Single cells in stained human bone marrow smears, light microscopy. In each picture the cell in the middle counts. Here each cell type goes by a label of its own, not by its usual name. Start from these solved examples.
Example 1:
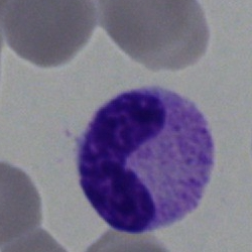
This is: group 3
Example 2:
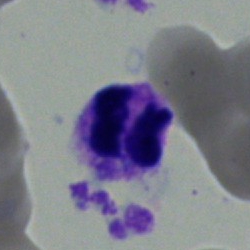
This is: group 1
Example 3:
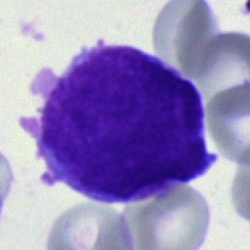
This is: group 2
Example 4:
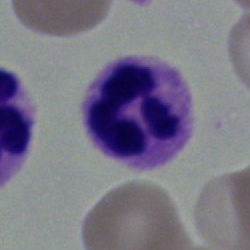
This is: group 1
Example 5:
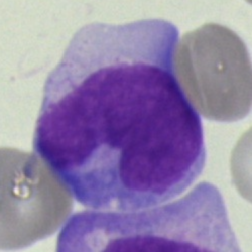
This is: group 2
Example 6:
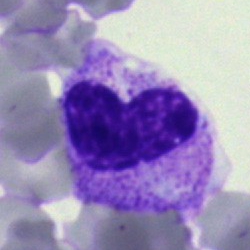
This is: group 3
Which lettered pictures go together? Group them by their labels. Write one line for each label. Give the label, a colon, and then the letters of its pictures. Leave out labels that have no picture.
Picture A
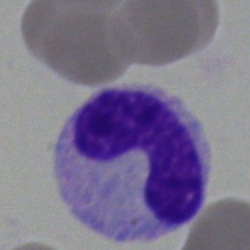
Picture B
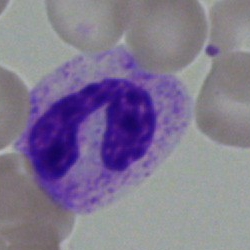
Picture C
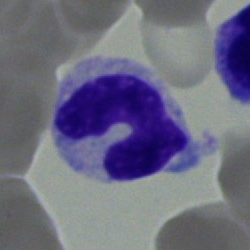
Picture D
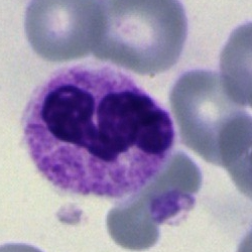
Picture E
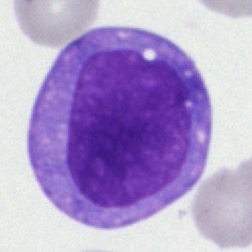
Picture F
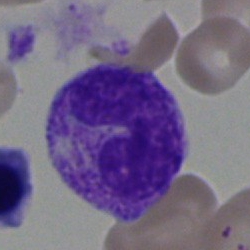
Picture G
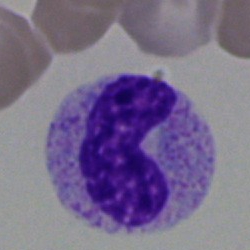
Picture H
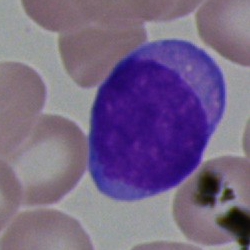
group 3: A, B, C, F, G
group 1: D
group 2: E, H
